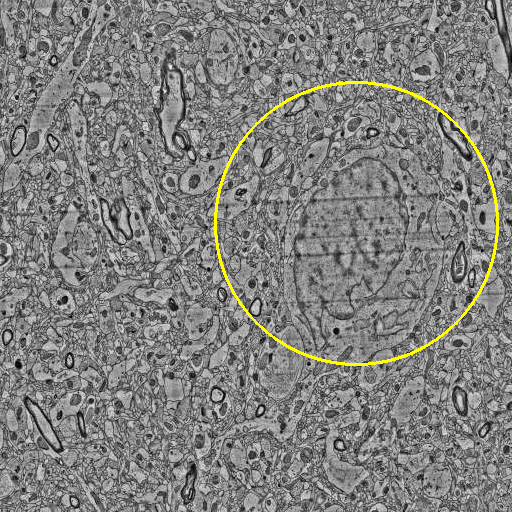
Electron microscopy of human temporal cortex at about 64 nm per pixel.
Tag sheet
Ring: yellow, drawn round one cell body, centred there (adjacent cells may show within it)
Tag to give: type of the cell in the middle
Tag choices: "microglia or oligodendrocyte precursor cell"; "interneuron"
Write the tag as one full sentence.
I tag the cell centred in the yellow ring as an interneuron in this picture.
